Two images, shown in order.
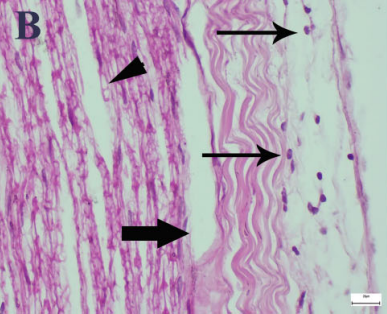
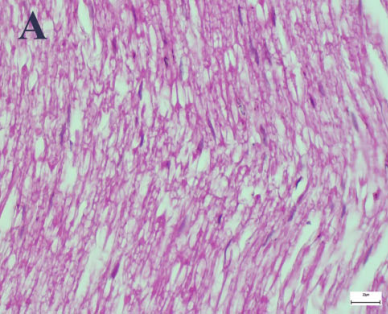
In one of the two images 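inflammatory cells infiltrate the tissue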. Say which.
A: The first image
